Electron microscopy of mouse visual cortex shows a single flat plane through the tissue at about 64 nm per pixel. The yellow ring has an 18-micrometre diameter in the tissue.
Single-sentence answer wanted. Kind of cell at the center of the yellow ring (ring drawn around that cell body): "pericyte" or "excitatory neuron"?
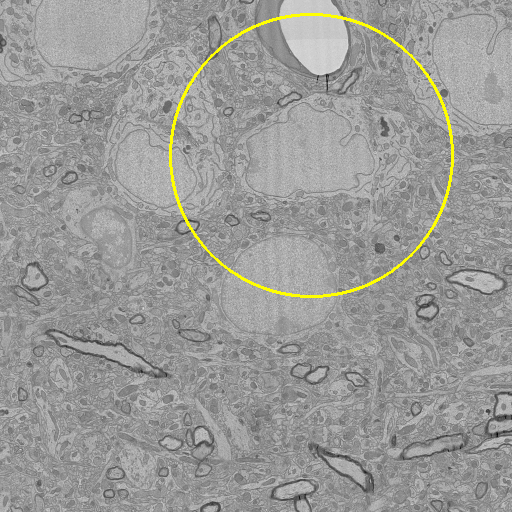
The cell centered in the ring is an excitatory neuron.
